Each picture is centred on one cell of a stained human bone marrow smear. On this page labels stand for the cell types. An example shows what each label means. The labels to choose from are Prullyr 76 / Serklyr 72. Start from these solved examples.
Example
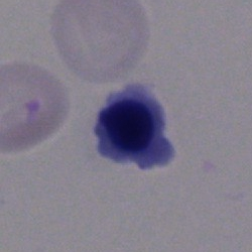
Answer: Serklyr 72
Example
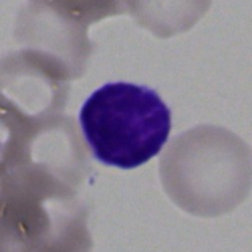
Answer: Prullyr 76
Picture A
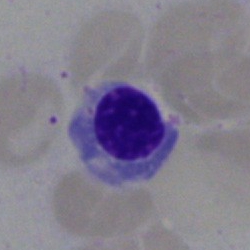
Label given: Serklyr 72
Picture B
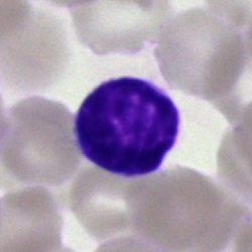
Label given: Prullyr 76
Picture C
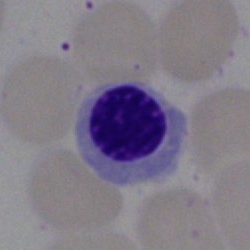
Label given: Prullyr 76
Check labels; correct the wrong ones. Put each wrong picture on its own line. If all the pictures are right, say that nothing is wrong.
C: change Prullyr 76 to Serklyr 72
